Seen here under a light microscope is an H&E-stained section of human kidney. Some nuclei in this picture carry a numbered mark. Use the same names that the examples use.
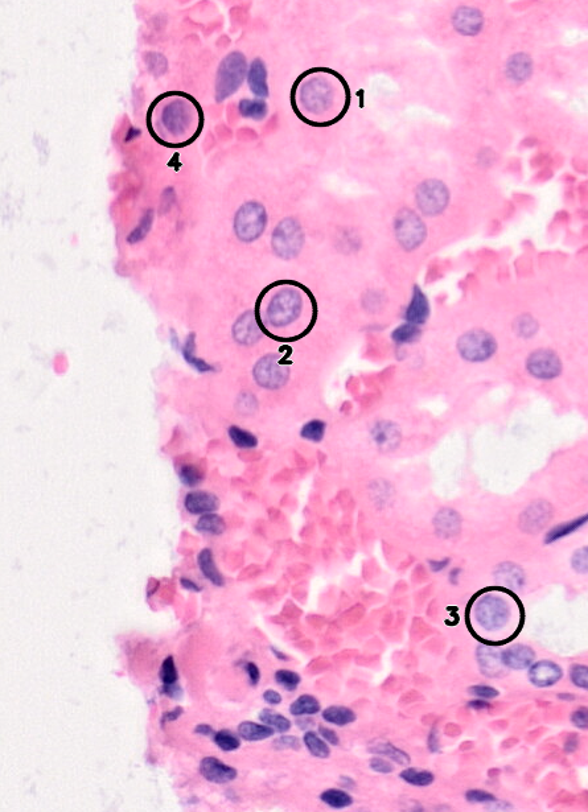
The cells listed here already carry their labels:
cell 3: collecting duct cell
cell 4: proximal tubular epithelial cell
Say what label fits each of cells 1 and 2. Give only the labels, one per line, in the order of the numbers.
proximal tubular epithelial cell
proximal tubular epithelial cell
